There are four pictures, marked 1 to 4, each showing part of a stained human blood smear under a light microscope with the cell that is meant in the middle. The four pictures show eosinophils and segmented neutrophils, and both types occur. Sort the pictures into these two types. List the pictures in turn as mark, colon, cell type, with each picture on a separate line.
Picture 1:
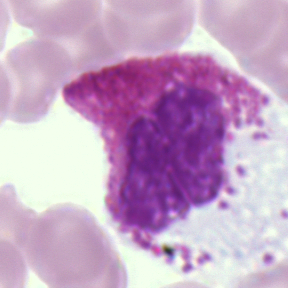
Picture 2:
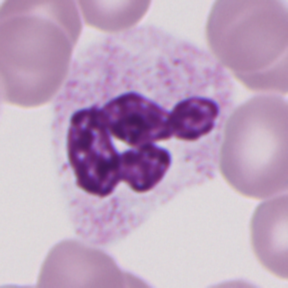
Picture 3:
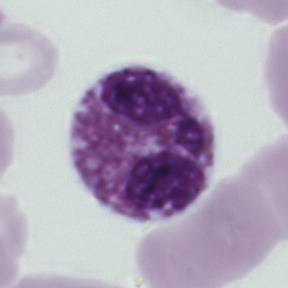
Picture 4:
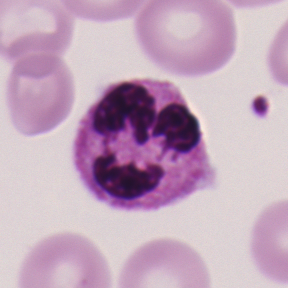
1: eosinophil
2: segmented neutrophil
3: eosinophil
4: segmented neutrophil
